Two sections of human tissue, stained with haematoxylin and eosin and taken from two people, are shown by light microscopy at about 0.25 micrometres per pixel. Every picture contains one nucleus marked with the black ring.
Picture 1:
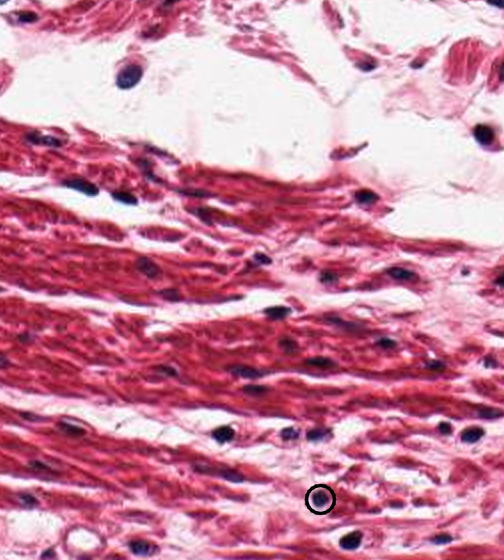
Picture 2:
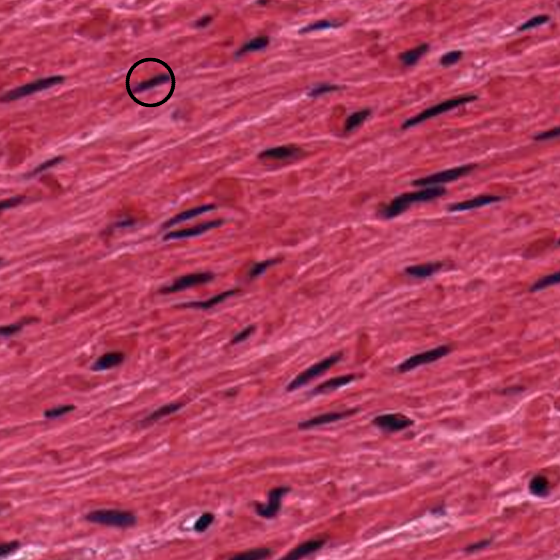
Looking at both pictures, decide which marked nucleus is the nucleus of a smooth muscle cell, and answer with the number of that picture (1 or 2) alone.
2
